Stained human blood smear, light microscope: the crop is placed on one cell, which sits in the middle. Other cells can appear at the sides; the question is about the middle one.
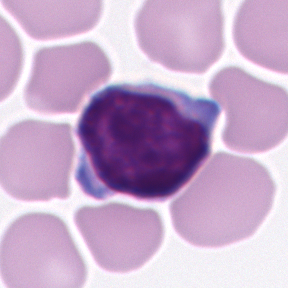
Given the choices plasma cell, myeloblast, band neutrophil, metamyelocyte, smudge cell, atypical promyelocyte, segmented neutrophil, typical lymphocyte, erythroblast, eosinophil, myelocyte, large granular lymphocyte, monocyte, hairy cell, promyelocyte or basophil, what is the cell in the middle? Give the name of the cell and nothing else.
typical lymphocyte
